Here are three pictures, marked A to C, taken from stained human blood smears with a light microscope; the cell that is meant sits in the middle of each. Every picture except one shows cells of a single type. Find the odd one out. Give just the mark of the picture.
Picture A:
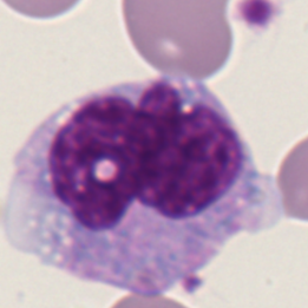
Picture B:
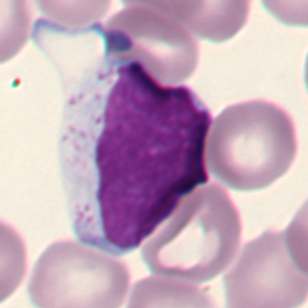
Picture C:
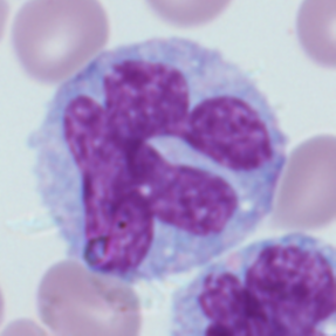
B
